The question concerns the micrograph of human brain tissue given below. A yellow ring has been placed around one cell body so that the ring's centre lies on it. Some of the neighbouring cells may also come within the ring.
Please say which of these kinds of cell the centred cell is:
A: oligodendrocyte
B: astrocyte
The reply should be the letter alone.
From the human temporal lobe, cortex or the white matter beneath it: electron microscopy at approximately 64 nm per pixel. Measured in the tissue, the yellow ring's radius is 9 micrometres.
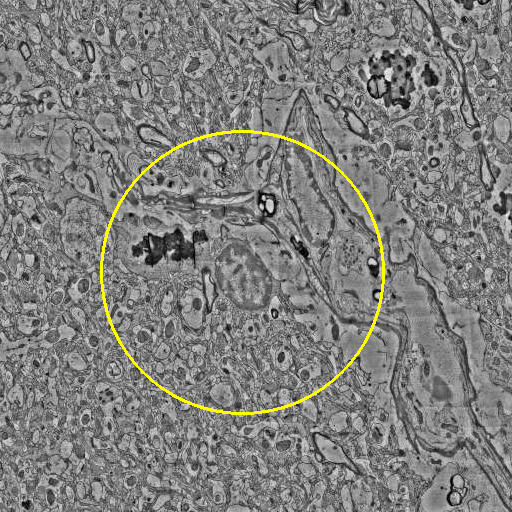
A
